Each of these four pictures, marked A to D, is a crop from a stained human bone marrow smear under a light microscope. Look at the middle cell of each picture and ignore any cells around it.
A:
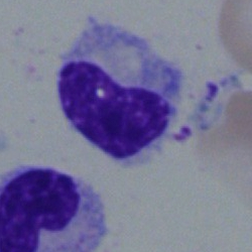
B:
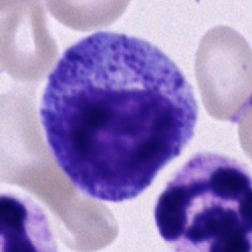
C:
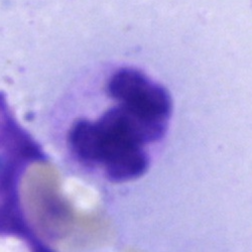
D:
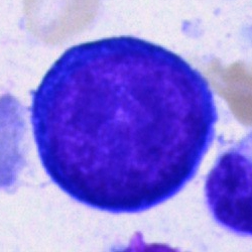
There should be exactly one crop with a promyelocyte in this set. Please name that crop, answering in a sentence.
Crop B, and no other, is the one that shows a promyelocyte.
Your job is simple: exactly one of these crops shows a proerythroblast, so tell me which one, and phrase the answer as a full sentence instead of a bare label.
The crop marked D is the one in which a proerythroblast is shown.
